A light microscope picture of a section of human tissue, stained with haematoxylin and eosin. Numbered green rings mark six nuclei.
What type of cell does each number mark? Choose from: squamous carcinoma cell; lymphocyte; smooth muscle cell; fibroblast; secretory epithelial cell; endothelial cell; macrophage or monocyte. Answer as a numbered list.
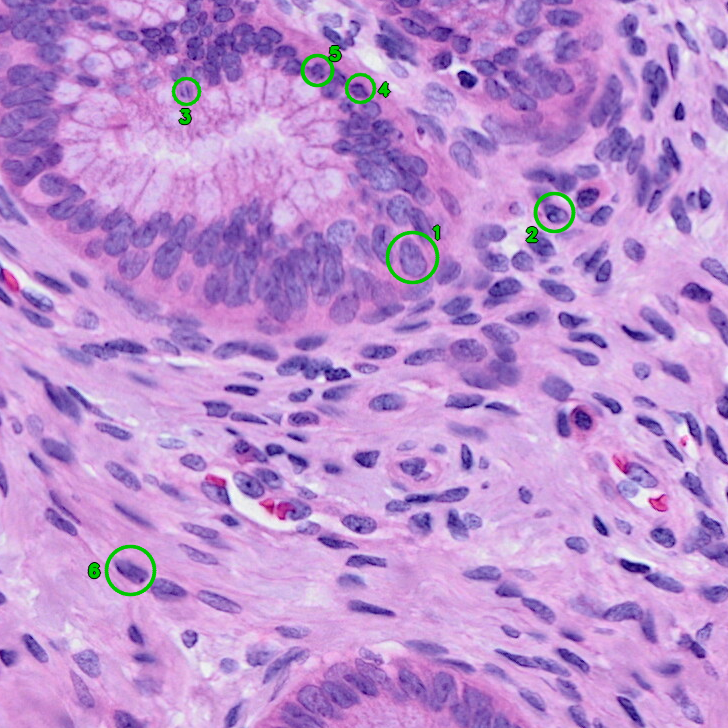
1. secretory epithelial cell
2. endothelial cell
3. secretory epithelial cell
4. secretory epithelial cell
5. secretory epithelial cell
6. fibroblast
